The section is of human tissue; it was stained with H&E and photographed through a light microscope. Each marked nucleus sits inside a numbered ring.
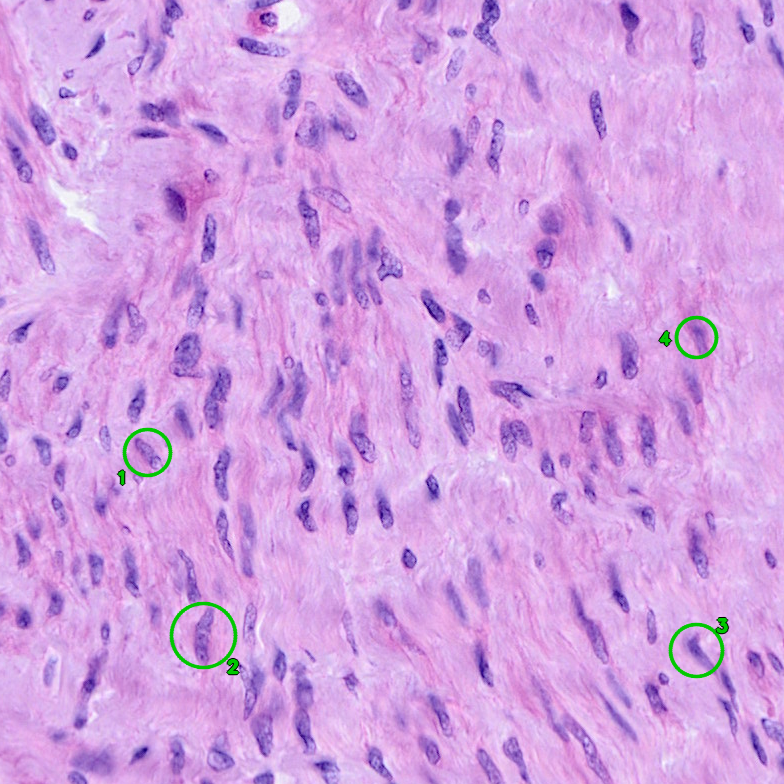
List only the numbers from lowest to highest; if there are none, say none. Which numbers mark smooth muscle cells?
1, 2, 4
